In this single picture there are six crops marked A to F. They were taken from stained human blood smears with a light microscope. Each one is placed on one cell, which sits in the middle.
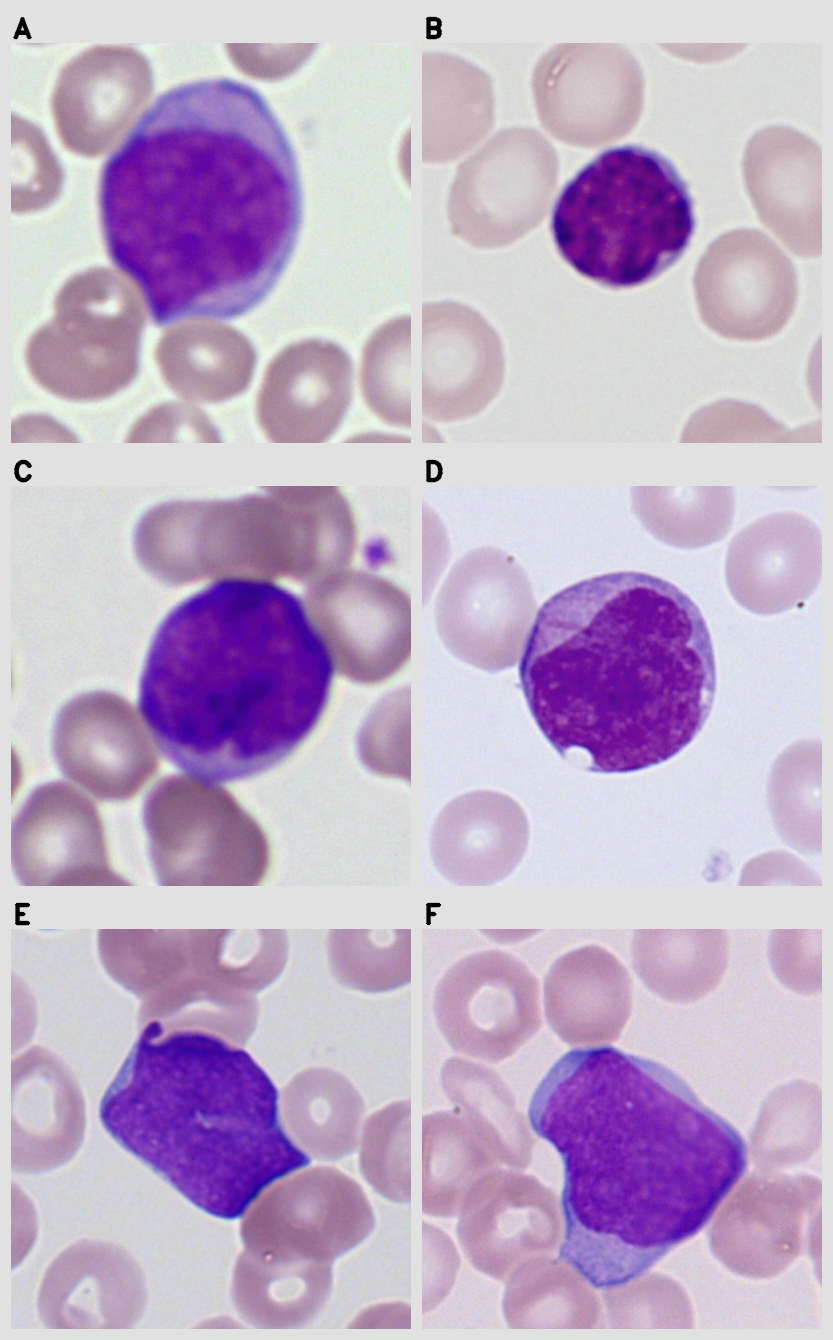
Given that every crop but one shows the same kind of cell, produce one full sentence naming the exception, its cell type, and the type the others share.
Crop B presents a lymphocyte, while myeloblasts are presented by all other crops.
